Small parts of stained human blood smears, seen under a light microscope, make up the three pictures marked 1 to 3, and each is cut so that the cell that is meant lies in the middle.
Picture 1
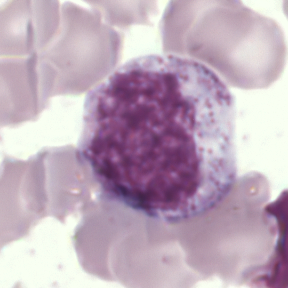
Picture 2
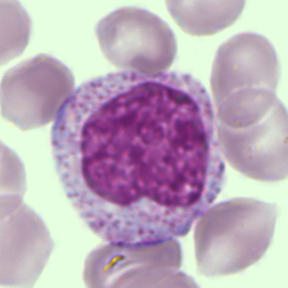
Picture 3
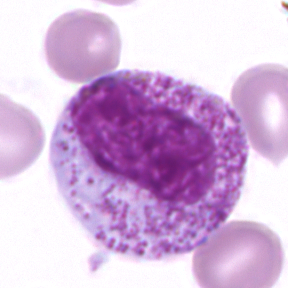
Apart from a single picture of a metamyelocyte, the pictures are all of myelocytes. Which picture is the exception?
3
